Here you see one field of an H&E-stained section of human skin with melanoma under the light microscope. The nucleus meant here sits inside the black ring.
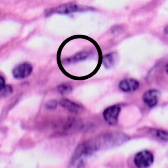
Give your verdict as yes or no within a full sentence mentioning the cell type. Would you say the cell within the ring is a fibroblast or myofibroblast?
Yes, that is right: the cell within the ring is a fibroblast or myofibroblast.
